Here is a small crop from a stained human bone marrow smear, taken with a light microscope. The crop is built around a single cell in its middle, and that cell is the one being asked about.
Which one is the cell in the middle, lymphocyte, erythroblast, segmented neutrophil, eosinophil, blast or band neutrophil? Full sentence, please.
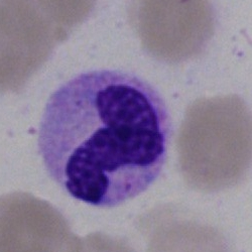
The identification for the central cell is a band neutrophil.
